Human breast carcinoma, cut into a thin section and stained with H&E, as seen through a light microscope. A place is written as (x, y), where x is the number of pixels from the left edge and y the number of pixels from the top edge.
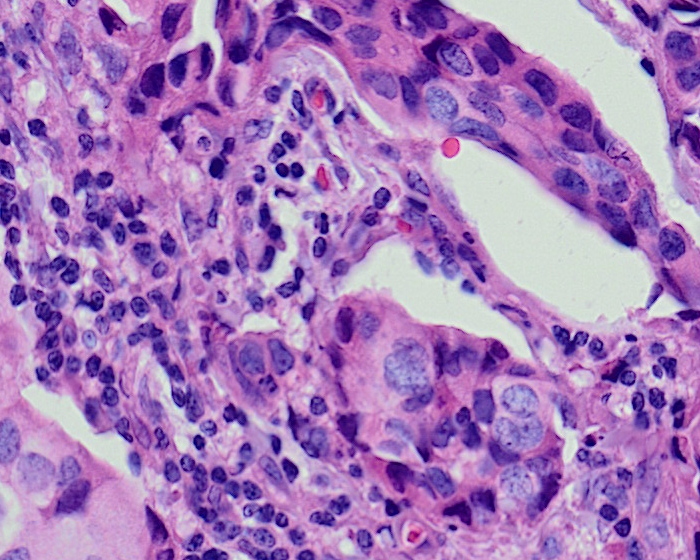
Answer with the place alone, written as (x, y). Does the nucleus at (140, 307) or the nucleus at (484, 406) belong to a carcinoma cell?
(484, 406)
